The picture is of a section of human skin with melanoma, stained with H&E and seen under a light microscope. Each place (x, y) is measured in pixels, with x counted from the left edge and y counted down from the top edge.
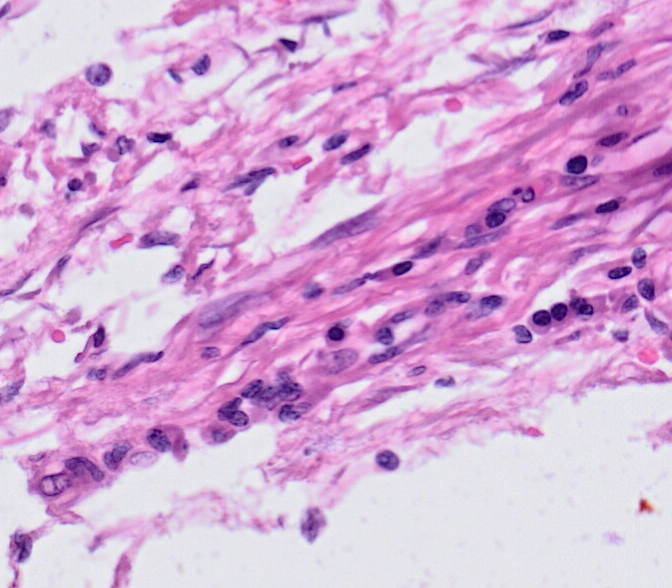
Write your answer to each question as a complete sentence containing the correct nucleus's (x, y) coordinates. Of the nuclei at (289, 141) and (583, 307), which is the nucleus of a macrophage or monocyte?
The nucleus situated at (289, 141) is the one belonging to a macrophage or monocyte.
